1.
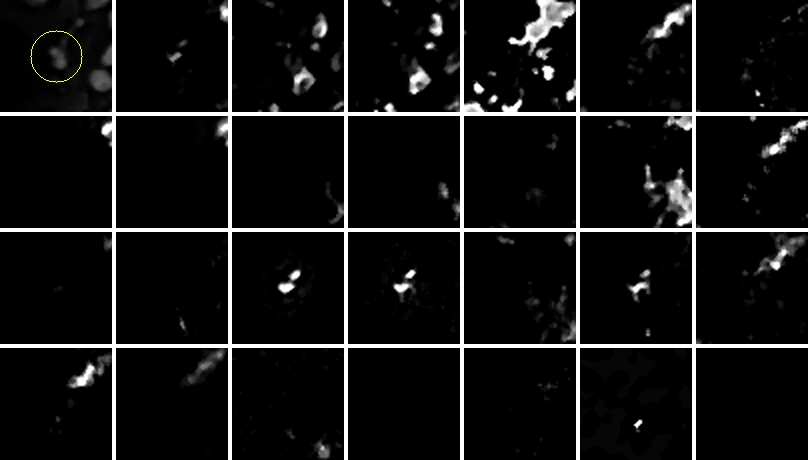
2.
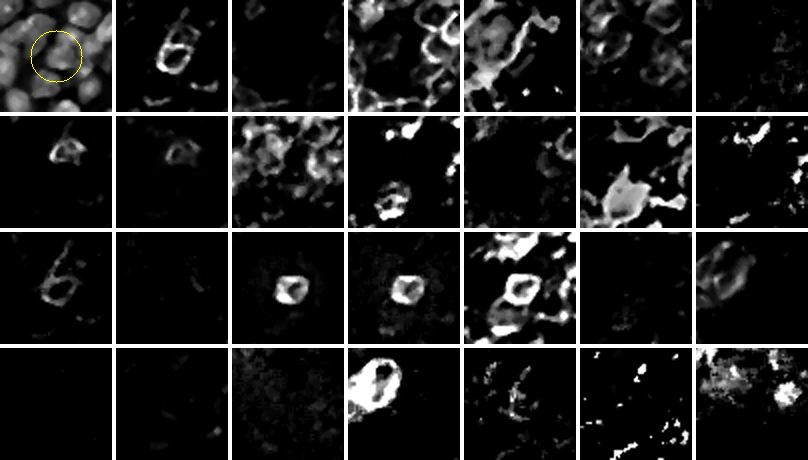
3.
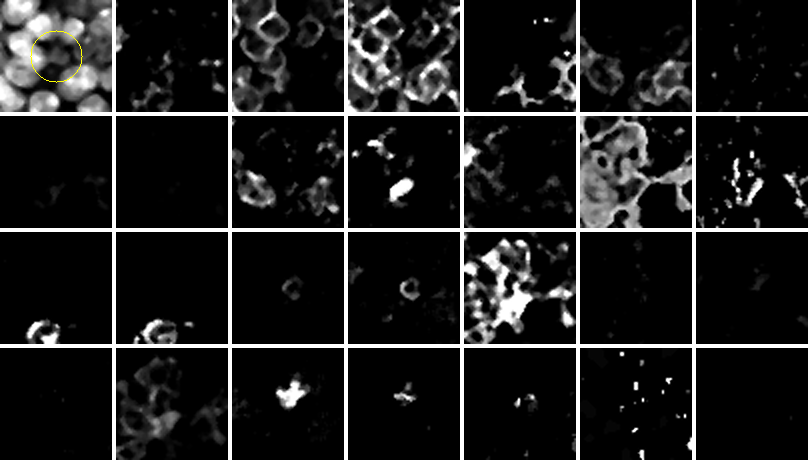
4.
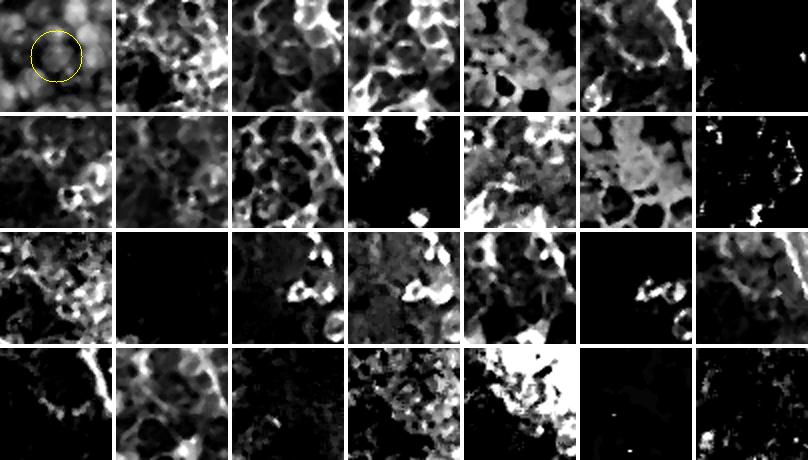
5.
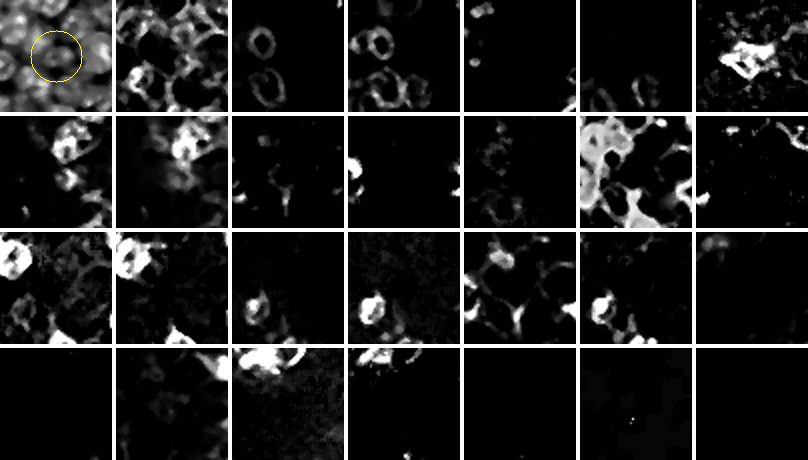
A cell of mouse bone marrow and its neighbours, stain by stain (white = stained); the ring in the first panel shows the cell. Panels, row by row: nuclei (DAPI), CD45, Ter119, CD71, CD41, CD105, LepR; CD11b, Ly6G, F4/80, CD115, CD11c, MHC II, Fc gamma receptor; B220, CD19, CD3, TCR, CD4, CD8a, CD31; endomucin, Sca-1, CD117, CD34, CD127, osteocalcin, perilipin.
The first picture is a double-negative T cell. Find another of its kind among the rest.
Picture 4.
